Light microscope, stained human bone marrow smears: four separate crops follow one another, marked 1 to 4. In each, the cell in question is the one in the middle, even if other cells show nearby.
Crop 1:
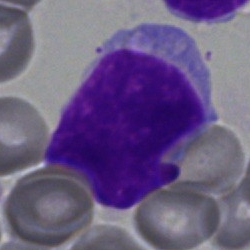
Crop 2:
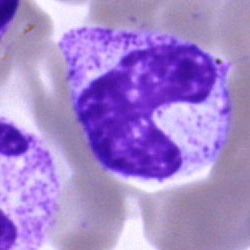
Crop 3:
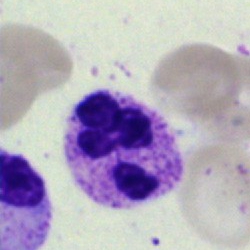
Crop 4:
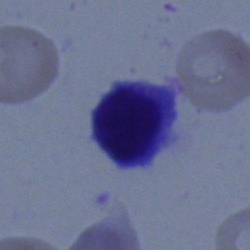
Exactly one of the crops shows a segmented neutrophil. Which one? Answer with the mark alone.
3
